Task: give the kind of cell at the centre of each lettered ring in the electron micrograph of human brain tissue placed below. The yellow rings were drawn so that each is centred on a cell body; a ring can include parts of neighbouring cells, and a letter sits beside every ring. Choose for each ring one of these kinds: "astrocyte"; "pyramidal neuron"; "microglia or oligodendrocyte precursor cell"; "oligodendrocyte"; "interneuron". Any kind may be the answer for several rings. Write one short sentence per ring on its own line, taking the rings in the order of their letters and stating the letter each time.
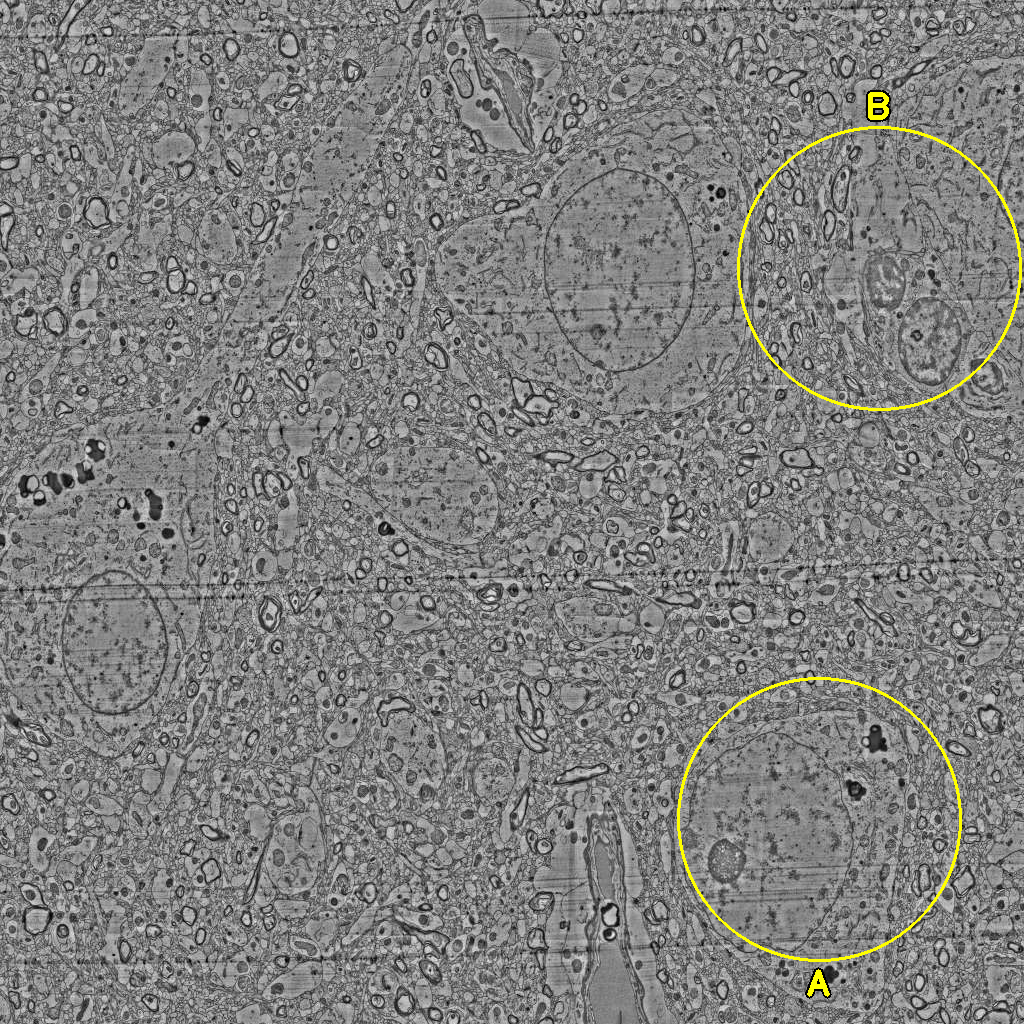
The yellow ring marked A surrounds a pyramidal neuron.
The yellow ring marked B surrounds an oligodendrocyte.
